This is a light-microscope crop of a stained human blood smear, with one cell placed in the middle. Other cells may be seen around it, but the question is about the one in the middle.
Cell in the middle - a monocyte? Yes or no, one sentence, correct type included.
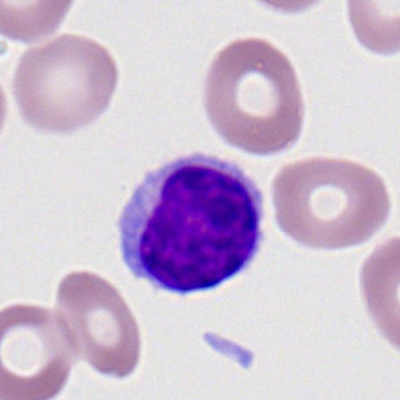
No, calling it a monocyte is wrong; the middle cell is a lymphocyte.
